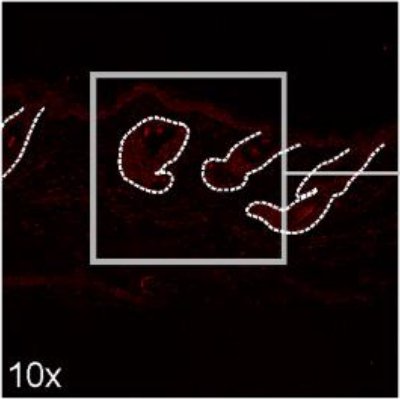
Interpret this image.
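Skin section in which a thin surface layer runs across the top and, beneath it, a few small rounded or irregular structures are outlined by white dashed lines. Faint red signal lies in and around their walls, and the rest of the tissue is largely dark.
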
